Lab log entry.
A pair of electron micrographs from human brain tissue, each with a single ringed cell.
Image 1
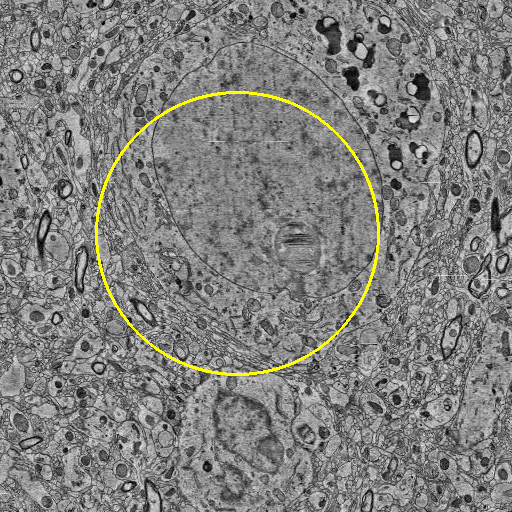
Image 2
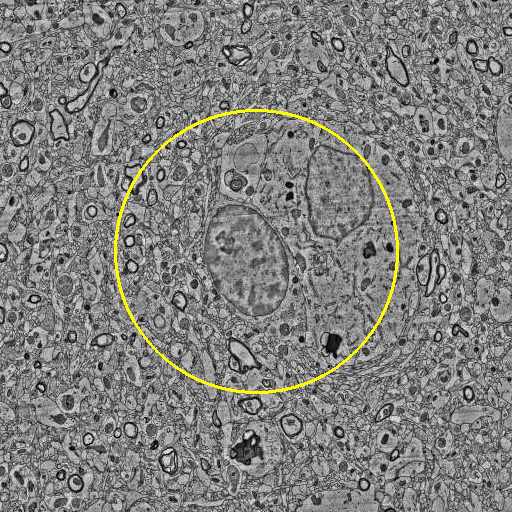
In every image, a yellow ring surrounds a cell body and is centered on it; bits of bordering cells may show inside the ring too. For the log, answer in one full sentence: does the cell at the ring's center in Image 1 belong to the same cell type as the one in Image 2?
No, the cells at the ring centers in Image 1 and Image 2 are of separate types.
